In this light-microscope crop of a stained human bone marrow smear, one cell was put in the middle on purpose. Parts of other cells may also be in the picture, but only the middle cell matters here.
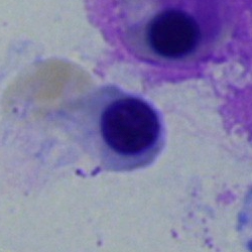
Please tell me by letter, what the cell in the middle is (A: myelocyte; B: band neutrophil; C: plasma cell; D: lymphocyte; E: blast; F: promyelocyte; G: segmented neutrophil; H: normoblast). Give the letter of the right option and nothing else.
H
